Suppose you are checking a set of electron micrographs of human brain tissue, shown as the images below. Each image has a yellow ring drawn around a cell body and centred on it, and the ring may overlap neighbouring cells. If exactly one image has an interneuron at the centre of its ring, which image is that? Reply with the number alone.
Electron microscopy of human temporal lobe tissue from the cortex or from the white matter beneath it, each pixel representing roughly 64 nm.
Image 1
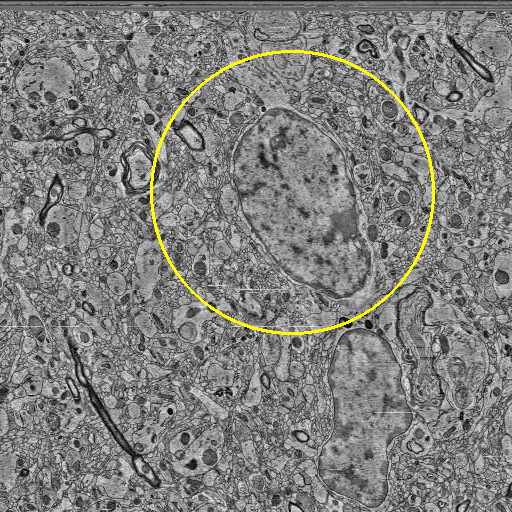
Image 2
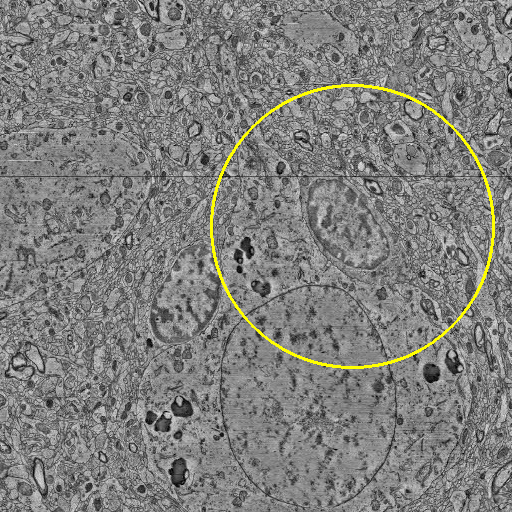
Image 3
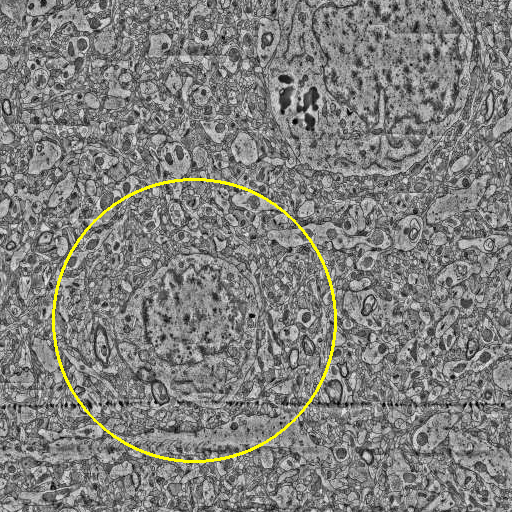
3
